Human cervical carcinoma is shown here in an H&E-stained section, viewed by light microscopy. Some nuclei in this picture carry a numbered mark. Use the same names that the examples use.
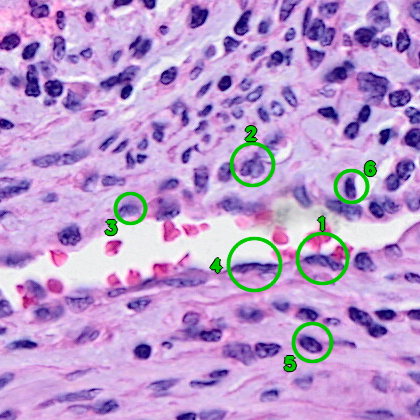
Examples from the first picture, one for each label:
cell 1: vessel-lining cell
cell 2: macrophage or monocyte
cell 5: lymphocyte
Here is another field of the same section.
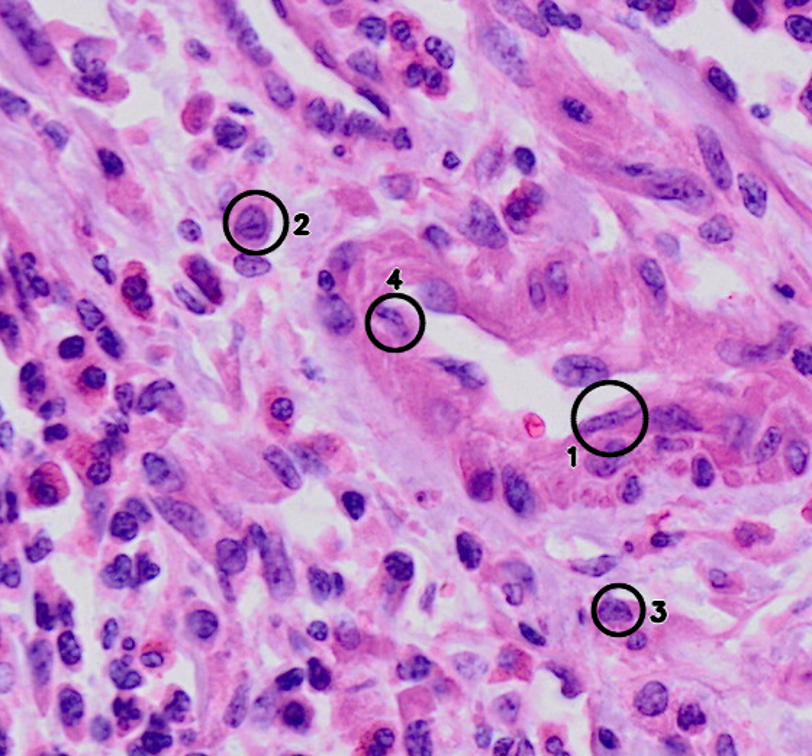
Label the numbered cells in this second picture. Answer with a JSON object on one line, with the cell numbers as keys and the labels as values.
{"1": "vessel-lining cell", "2": "macrophage or monocyte", "3": "macrophage or monocyte", "4": "vessel-lining cell"}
